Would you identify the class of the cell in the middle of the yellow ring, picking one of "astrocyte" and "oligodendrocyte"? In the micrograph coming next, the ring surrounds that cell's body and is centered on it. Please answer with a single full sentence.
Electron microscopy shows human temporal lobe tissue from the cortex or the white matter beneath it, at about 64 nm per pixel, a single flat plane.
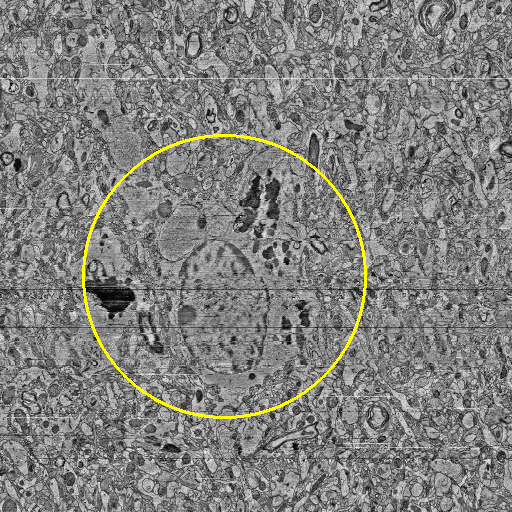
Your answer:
In the micrograph, it is an astrocyte whose body lies at the ring's center.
